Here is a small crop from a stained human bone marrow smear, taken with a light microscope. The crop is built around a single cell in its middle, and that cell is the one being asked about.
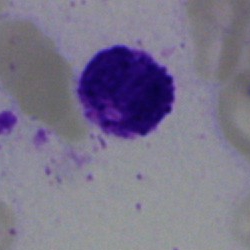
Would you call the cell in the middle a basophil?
yes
